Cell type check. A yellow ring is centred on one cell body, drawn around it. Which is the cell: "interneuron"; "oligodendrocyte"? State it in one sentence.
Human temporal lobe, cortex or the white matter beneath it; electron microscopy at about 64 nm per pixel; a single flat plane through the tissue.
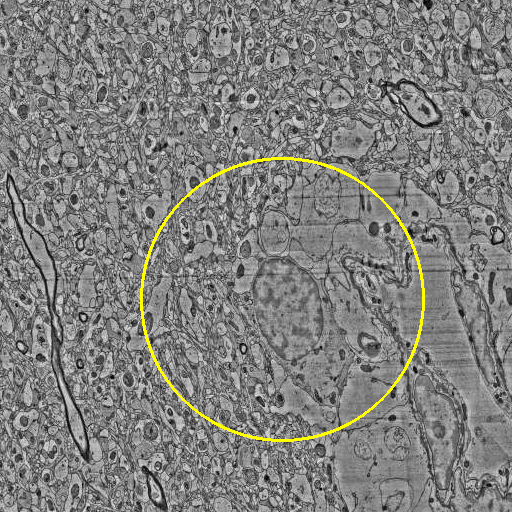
The cell body at the ring's centre belongs to an oligodendrocyte.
